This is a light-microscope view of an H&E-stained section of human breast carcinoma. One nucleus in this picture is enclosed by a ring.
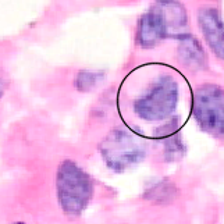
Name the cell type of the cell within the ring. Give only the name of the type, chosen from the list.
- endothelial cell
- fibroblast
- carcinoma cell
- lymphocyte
carcinoma cell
